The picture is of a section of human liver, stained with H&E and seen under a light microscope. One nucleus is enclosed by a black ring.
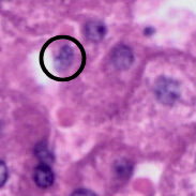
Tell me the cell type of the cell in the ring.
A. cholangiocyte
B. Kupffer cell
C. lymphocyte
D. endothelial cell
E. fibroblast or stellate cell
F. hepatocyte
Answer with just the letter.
B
